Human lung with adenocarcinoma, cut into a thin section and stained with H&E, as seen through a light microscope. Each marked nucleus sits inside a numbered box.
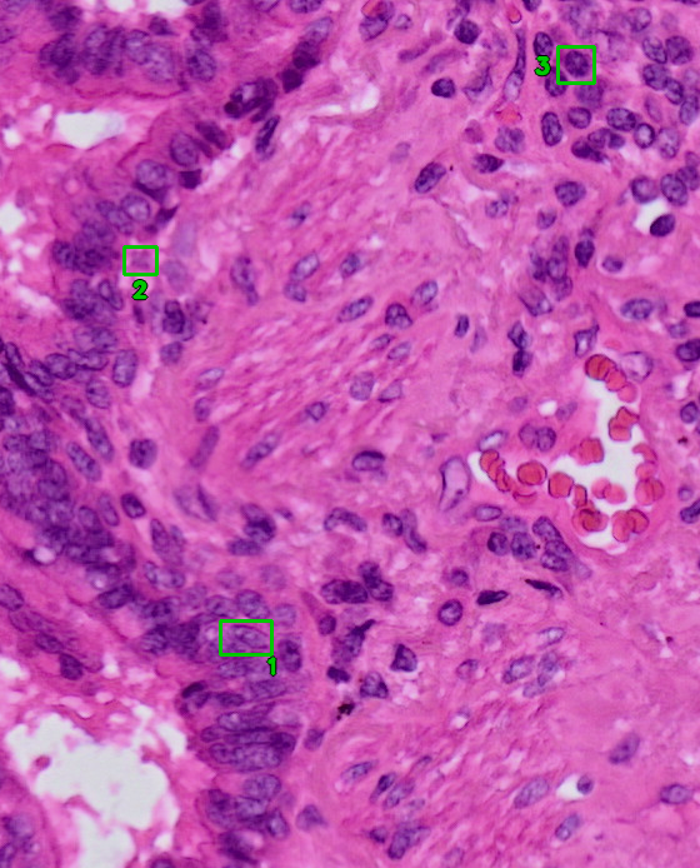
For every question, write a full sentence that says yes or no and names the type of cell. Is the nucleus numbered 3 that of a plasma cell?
Yes, the cell marked by the number 3 is a plasma cell.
